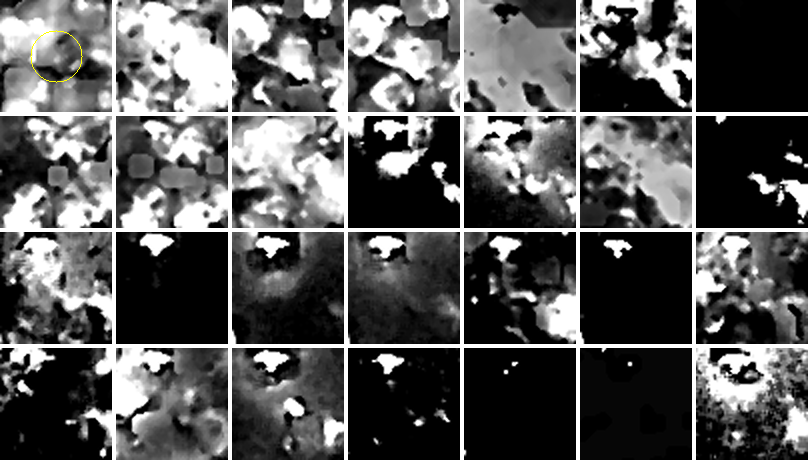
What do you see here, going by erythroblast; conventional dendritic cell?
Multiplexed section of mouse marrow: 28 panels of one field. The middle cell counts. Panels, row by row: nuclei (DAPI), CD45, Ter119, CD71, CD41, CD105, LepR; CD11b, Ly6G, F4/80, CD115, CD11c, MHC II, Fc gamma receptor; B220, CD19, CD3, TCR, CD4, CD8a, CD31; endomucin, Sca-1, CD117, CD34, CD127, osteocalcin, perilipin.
I see a conventional dendritic cell.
